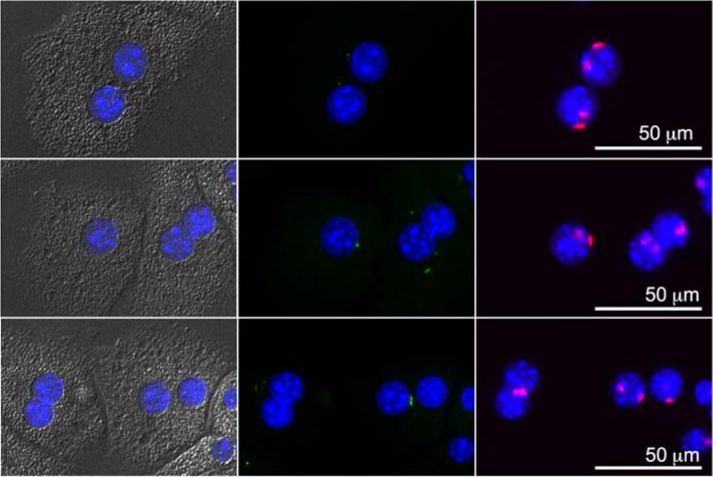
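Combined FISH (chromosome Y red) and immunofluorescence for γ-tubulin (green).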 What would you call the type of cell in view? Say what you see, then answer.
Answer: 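Large polygonal cells with granular cytoplasm in the differential interference contrast images. Round central nuclei, some cells holding two nuclei. That points to this answer: hepatocytes.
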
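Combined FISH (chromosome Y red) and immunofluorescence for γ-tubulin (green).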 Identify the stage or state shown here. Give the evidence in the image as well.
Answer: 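Two round blue nuclei lie side by side within one cell outline in the differential interference contrast images.
Binucleated.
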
